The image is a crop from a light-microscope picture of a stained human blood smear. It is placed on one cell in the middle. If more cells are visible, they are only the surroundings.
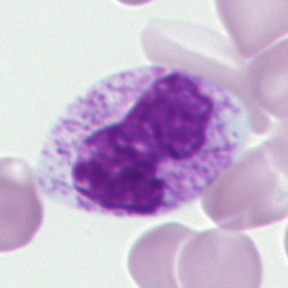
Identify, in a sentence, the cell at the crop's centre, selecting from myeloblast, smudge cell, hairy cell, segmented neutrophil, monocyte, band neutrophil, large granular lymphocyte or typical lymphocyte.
The cell occupying the middle of the crop is a band neutrophil.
